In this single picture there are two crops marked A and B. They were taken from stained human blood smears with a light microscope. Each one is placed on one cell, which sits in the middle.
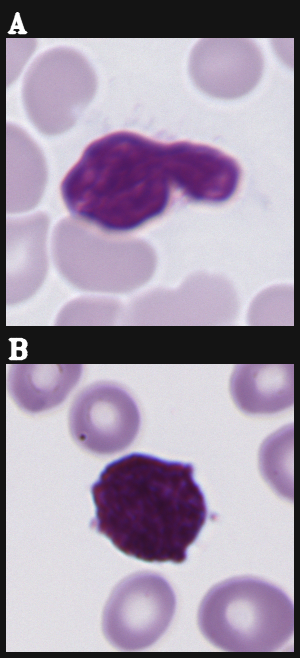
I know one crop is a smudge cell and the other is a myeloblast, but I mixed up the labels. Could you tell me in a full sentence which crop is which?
To sum up the two crops, crop A is a smudge cell and crop B is a myeloblast.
